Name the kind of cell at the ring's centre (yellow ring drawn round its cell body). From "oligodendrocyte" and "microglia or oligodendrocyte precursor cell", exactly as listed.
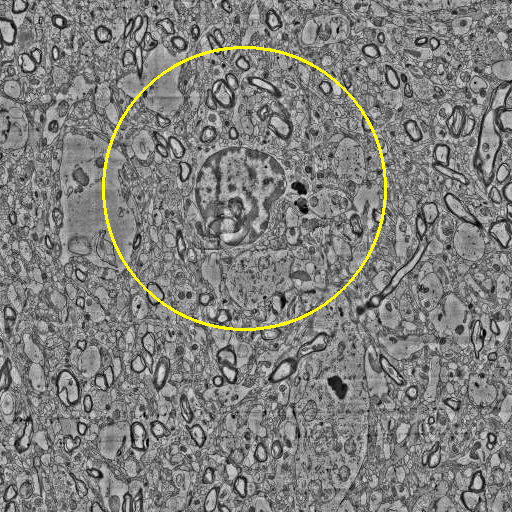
microglia or oligodendrocyte precursor cell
